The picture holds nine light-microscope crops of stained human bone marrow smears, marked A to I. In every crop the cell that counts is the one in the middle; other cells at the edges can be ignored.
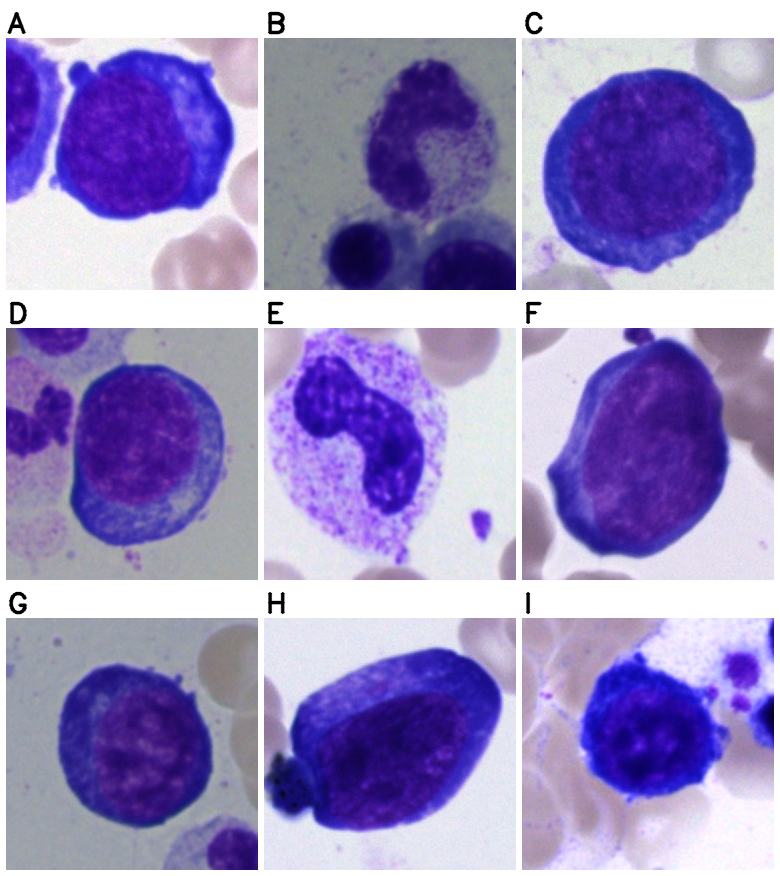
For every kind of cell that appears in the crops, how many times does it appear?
proerythroblast: 7
band neutrophil: 2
